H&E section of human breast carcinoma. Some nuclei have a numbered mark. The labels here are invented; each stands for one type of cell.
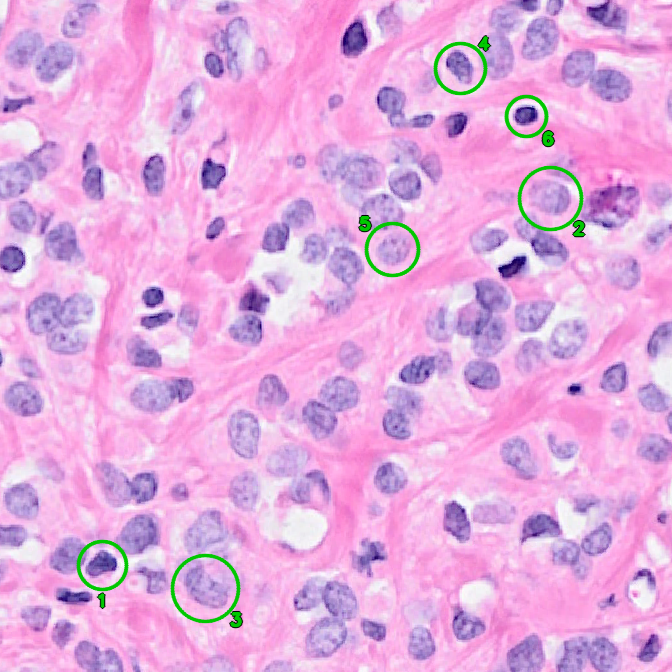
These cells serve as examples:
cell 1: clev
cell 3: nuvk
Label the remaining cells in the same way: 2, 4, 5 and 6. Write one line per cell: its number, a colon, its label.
2: nuvk
4: clev
5: nuvk
6: clev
